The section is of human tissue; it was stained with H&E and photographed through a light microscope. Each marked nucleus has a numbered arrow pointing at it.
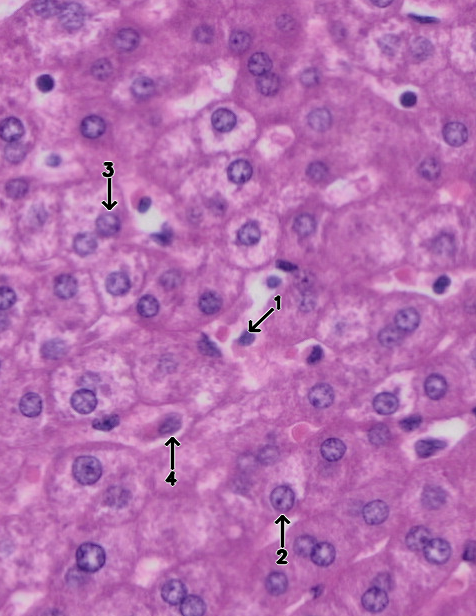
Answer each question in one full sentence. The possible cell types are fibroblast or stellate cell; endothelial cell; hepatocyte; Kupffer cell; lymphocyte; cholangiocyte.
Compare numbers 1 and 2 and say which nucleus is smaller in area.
The smaller nucleus is 1, and 2 covers roughly 2.5 times its area.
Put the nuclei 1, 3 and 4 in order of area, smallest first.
The order from the smallest nucleus to the largest is 1, 4, 3.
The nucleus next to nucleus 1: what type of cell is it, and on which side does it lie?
An endothelial cell lies closest, to the left of nucleus 1.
